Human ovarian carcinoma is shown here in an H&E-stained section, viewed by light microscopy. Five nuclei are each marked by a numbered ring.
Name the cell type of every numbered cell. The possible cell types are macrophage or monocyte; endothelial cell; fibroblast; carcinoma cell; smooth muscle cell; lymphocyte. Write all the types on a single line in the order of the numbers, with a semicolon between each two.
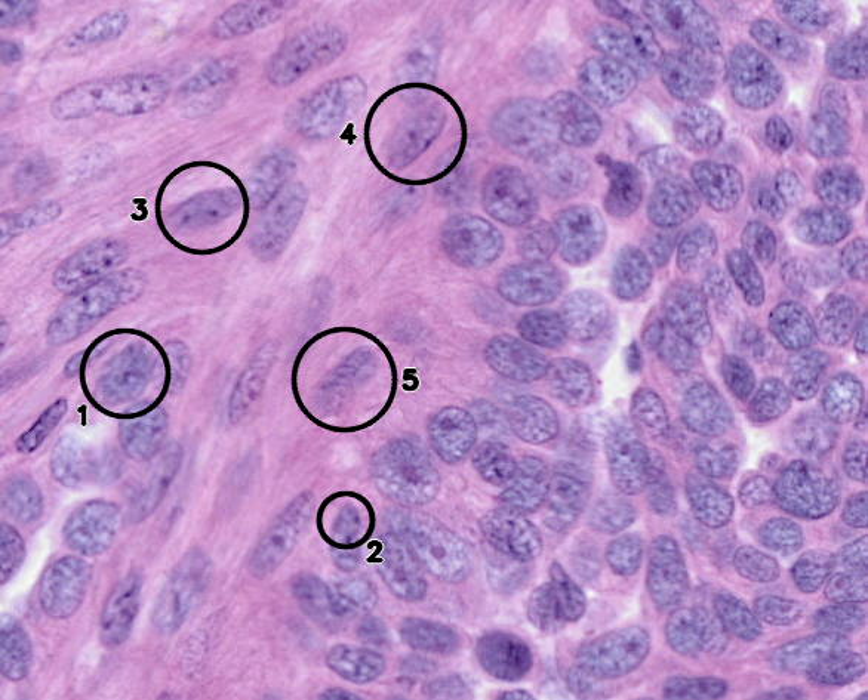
carcinoma cell; macrophage or monocyte; fibroblast; fibroblast; fibroblast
